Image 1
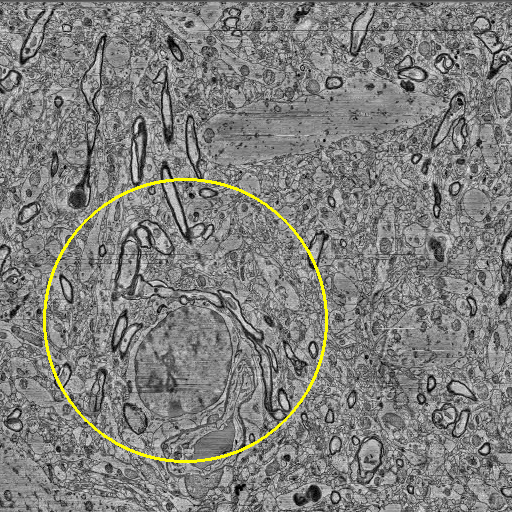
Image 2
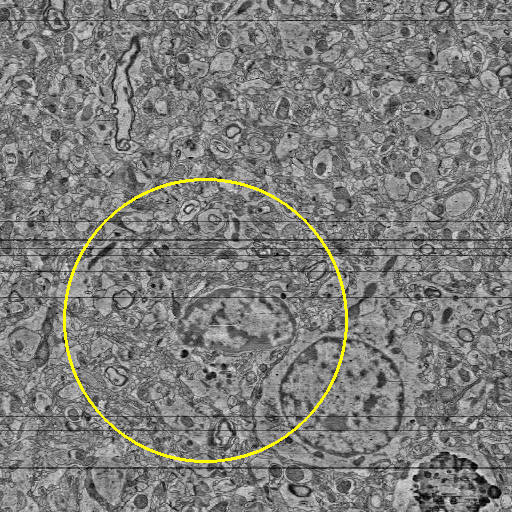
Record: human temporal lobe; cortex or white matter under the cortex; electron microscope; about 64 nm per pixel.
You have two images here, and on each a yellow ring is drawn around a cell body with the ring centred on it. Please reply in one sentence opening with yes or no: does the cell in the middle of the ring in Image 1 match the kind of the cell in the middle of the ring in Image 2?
Yes, the two images show cells of one kind at the centres of their rings.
